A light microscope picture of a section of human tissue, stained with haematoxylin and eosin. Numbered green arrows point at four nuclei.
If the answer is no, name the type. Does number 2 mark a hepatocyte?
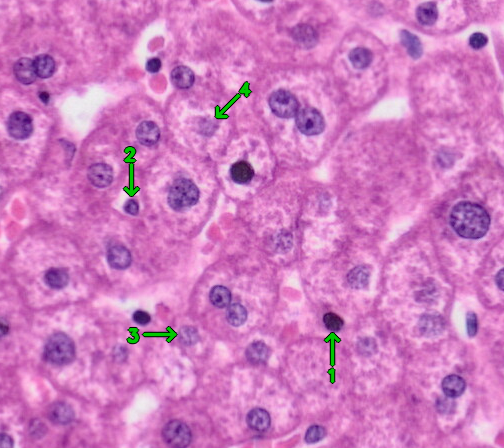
No, it is a Kupffer cell.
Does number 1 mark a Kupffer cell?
Yes.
